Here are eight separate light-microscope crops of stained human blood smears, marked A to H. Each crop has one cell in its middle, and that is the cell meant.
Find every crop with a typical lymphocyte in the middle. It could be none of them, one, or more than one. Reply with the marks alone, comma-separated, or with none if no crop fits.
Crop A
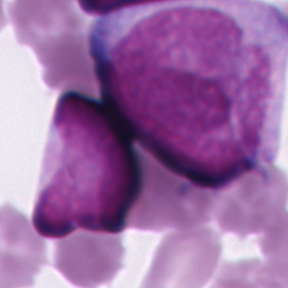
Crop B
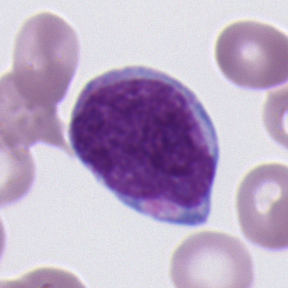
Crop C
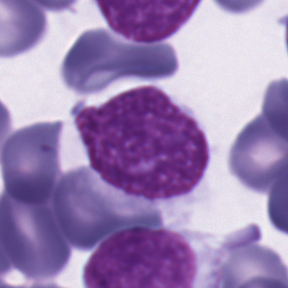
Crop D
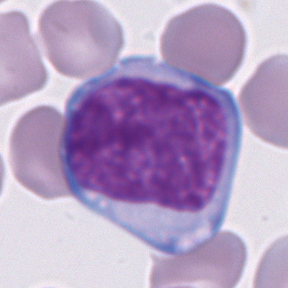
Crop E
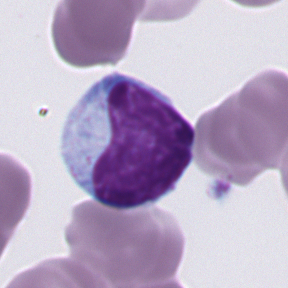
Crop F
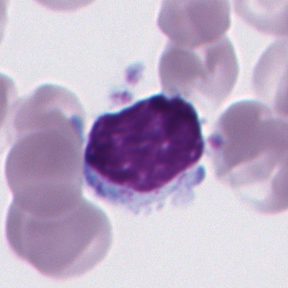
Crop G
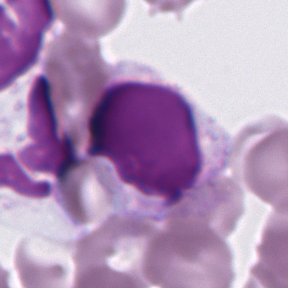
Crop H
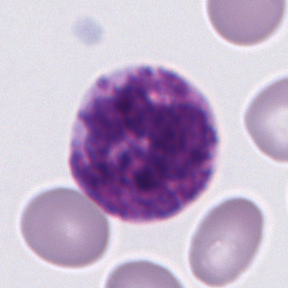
E, F, G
